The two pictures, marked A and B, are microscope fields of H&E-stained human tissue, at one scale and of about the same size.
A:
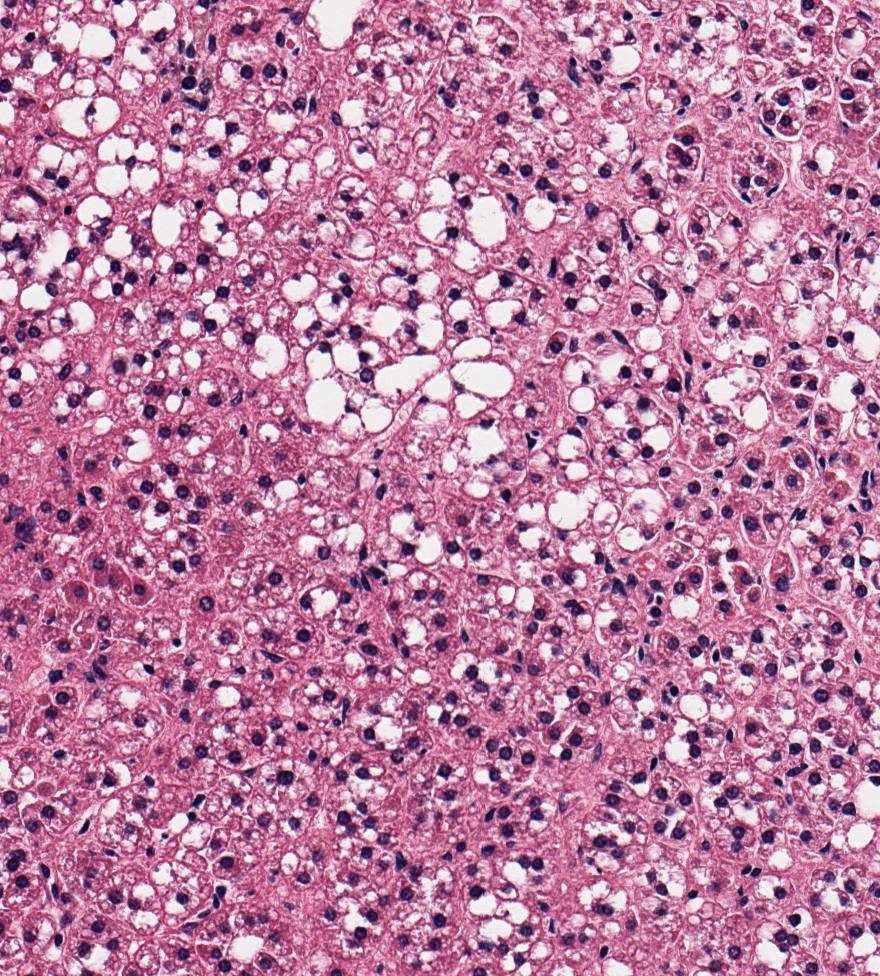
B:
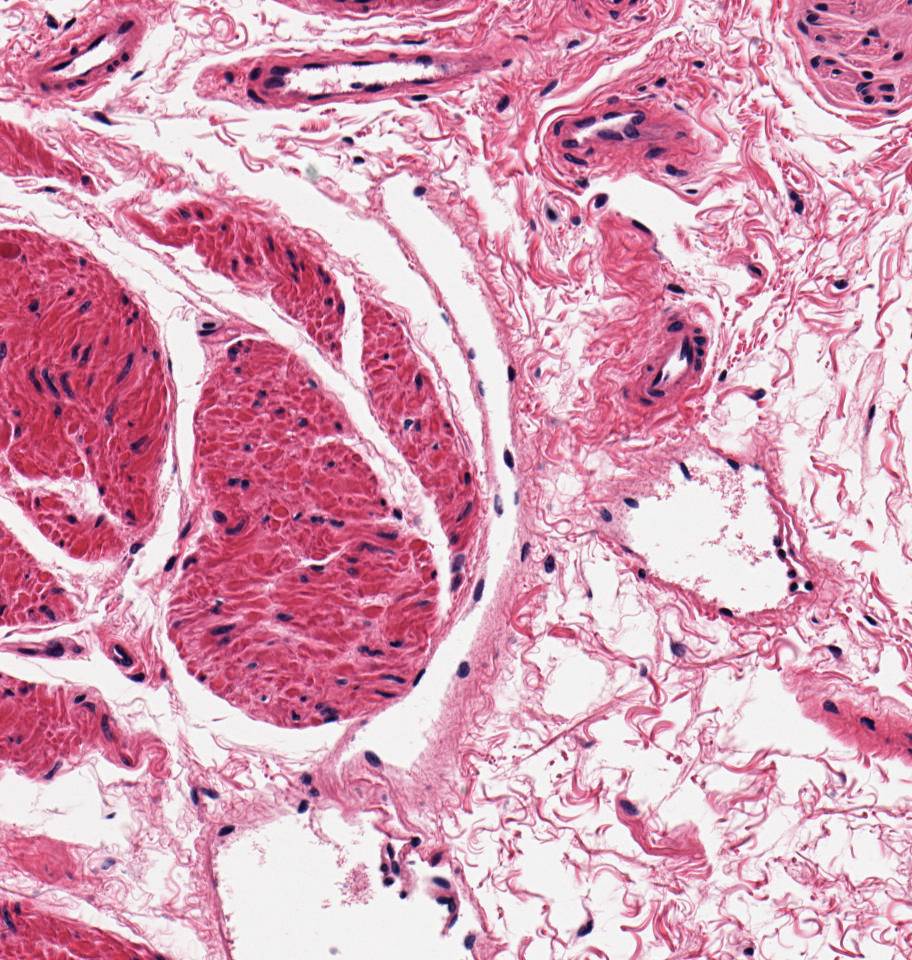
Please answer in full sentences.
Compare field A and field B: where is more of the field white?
It is field B in which white space covers the larger part.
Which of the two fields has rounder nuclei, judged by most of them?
It is field A whose nuclei are the rounder.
